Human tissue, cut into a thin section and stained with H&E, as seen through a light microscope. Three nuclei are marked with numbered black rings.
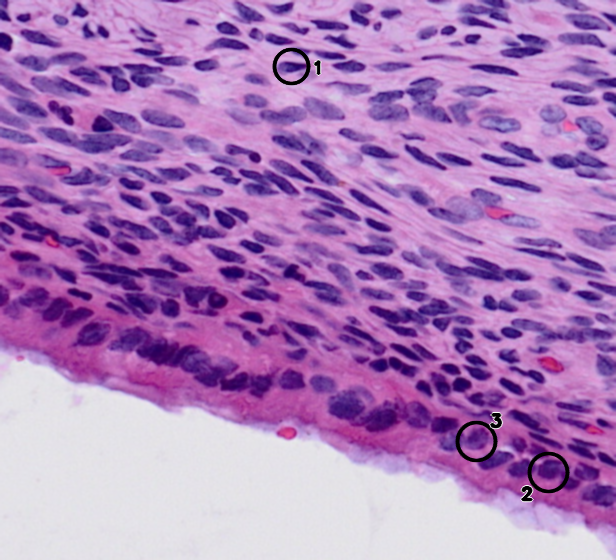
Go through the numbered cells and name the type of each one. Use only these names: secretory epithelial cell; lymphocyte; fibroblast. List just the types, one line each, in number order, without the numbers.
fibroblast
secretory epithelial cell
secretory epithelial cell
